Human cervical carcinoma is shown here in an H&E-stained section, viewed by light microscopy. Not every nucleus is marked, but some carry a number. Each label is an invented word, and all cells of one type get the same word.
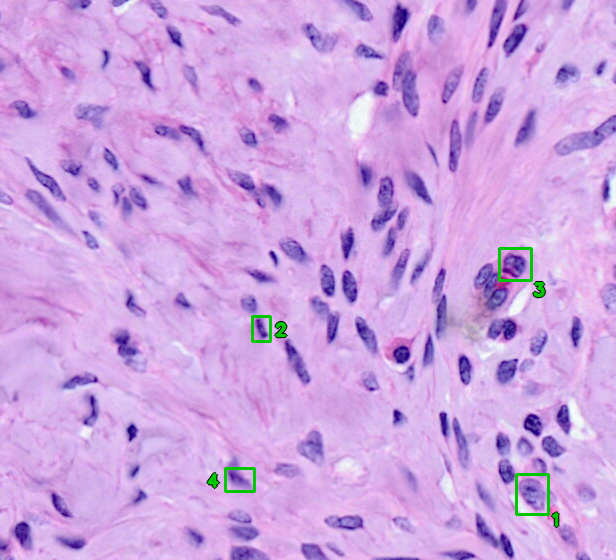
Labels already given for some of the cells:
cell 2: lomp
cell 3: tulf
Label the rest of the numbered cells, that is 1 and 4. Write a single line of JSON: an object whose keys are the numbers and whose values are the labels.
{"1": "tulf", "4": "lomp"}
